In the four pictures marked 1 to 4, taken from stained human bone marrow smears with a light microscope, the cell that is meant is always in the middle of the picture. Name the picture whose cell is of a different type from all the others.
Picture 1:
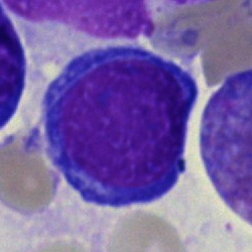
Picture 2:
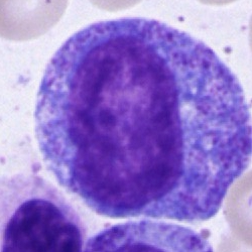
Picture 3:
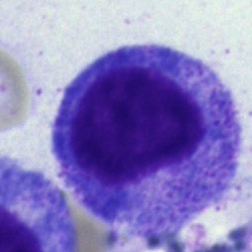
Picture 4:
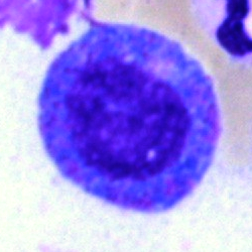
1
